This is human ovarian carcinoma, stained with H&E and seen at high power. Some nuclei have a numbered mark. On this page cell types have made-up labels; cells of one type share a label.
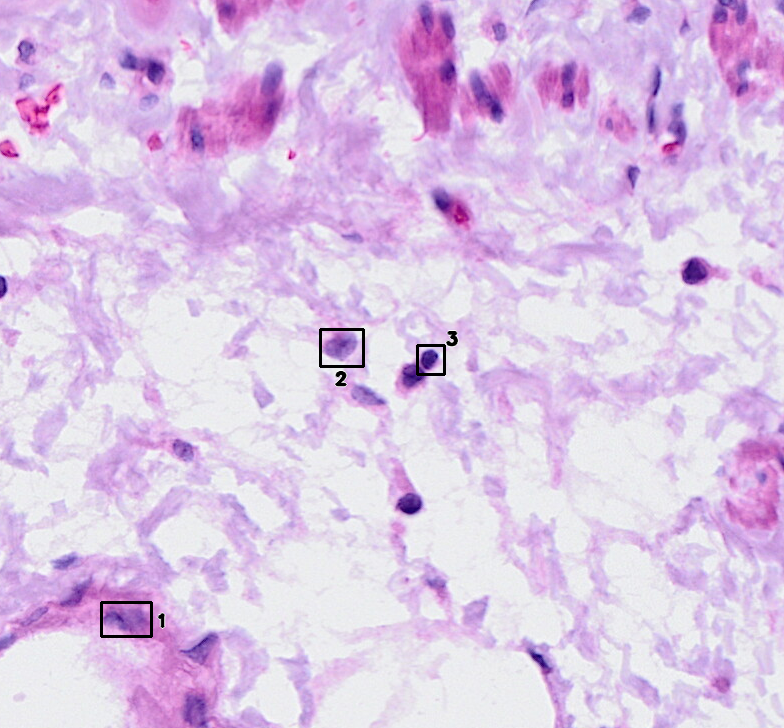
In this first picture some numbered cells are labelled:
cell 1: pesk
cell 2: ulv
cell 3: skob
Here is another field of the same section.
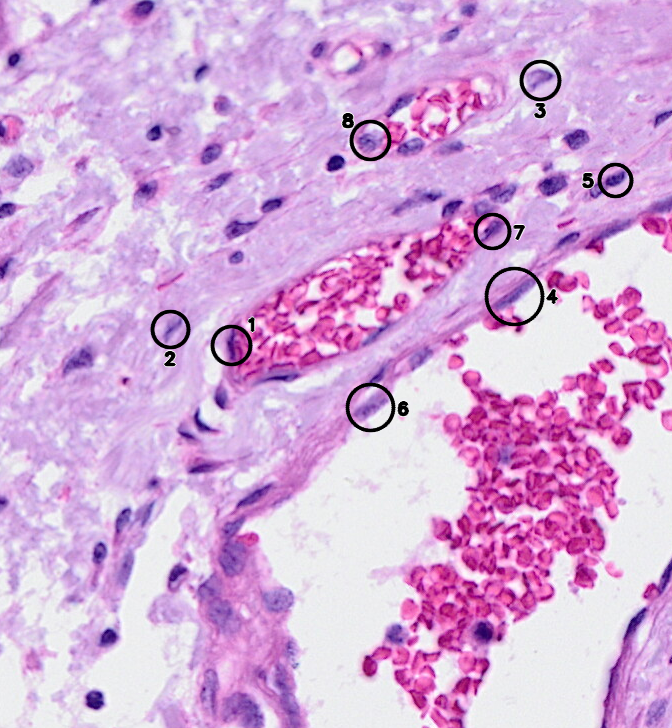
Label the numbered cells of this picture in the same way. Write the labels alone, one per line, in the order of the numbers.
pesk
ulv
ulv
pesk
skob
pesk
pesk
pesk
